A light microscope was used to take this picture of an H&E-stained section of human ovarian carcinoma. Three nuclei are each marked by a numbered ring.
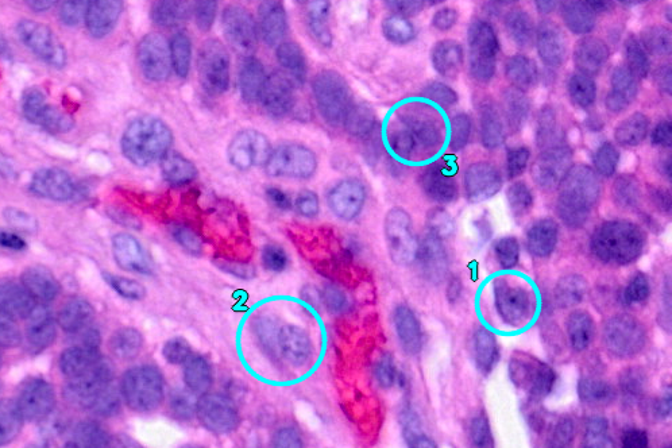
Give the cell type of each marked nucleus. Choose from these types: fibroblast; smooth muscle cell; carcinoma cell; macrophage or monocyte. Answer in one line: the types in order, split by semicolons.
macrophage or monocyte; fibroblast; carcinoma cell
